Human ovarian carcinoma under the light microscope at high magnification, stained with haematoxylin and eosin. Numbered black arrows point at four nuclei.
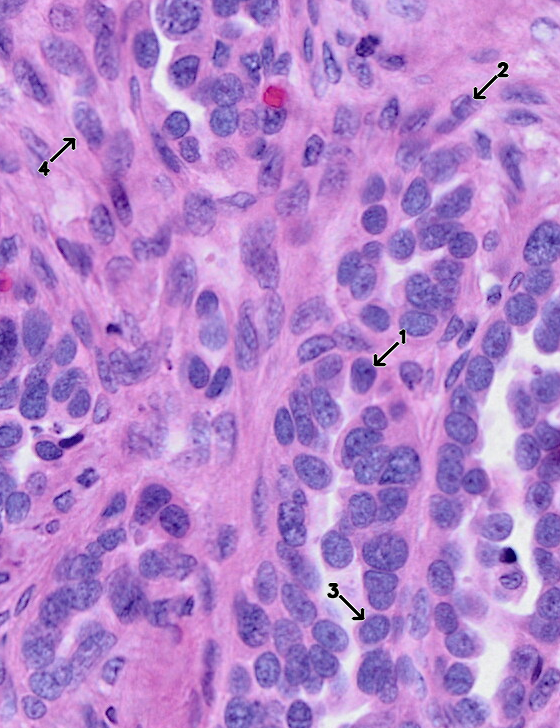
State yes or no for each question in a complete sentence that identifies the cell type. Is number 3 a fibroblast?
No, the cell given number 3 is a carcinoma cell, not a fibroblast.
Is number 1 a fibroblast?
No, calling cell 1 a fibroblast is a mistake; it is a carcinoma cell.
